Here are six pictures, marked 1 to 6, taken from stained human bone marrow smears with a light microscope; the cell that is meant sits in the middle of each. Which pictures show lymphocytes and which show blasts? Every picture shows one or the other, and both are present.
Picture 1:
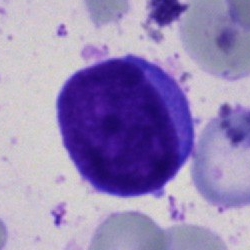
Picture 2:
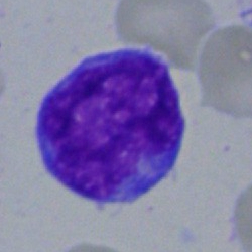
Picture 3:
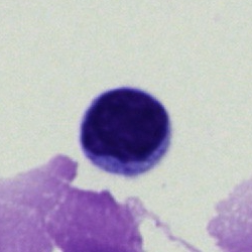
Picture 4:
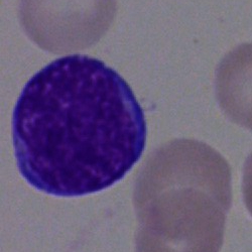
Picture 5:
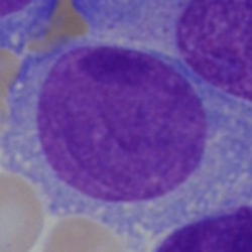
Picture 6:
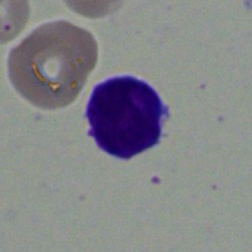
1: blast
2: blast
3: lymphocyte
4: blast
5: blast
6: lymphocyte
